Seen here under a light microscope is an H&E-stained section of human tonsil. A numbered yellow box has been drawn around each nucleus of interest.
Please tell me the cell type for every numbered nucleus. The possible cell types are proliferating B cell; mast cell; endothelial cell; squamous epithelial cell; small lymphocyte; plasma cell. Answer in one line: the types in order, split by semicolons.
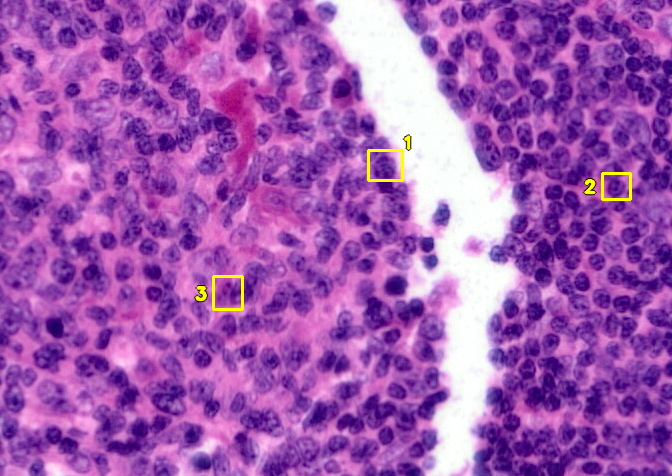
proliferating B cell; small lymphocyte; proliferating B cell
